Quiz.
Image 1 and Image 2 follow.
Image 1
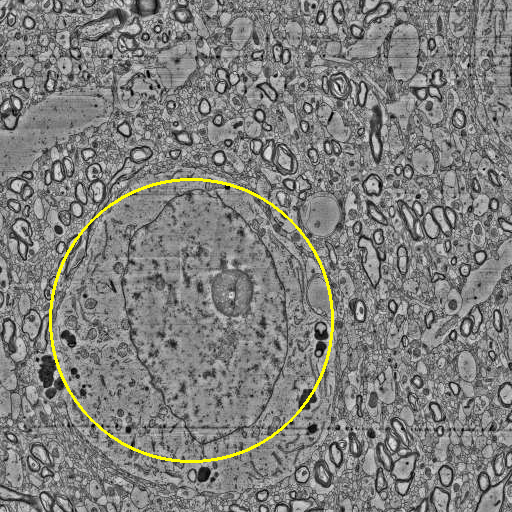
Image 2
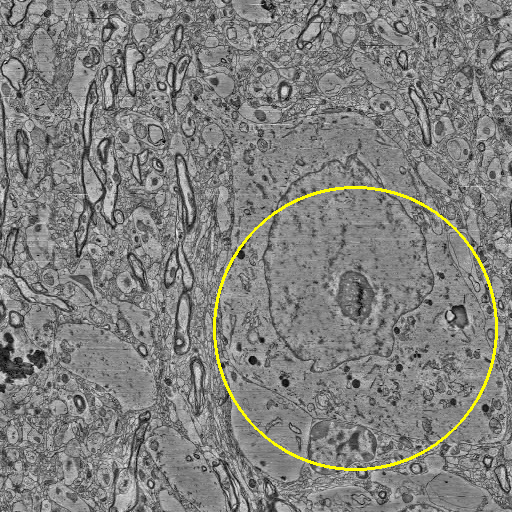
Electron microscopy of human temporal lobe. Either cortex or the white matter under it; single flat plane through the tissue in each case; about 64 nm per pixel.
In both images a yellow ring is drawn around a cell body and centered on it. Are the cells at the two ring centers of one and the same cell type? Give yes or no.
yes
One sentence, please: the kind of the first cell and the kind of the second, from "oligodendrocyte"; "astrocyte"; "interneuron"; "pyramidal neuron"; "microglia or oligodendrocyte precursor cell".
Each cell at the centre of a ring is a pyramidal neuron.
